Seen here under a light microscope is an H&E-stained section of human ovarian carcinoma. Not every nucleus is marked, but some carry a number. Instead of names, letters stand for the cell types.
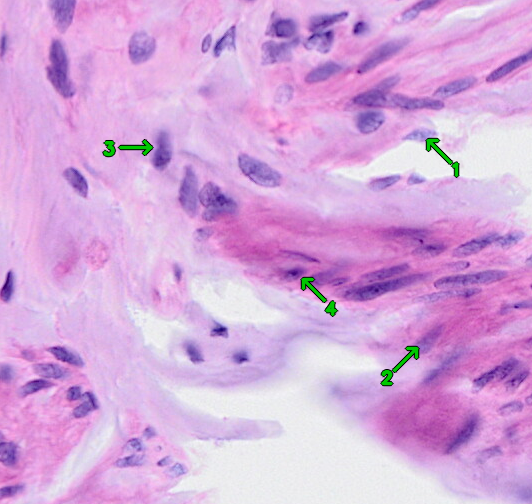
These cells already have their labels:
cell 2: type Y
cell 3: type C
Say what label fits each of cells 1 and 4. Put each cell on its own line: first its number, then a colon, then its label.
1: type Y
4: type Y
